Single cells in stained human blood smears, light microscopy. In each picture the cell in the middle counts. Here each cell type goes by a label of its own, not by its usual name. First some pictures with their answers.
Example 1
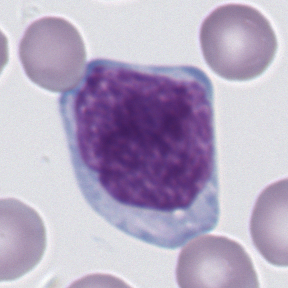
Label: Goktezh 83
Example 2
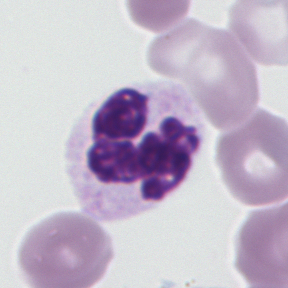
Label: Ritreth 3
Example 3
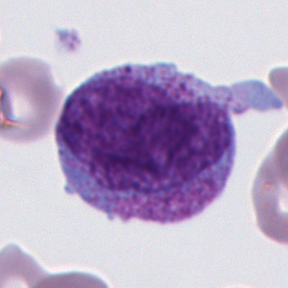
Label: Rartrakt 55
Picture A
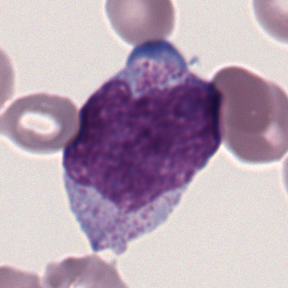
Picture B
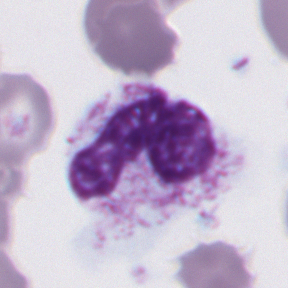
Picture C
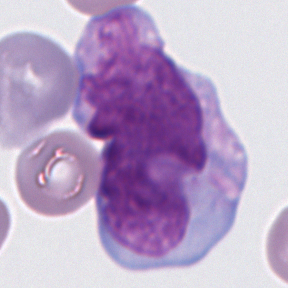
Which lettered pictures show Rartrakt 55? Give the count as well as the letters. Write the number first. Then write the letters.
Count: 2 (A, C)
